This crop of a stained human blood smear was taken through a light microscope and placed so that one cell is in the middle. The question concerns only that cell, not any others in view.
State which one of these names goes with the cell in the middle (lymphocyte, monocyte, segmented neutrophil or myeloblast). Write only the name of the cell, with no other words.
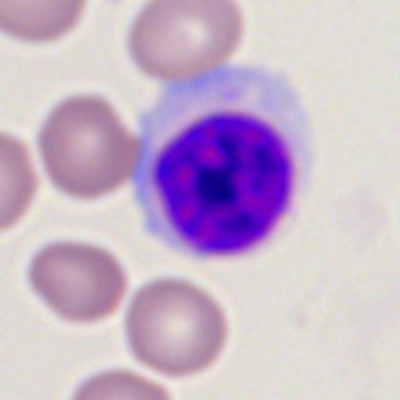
lymphocyte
